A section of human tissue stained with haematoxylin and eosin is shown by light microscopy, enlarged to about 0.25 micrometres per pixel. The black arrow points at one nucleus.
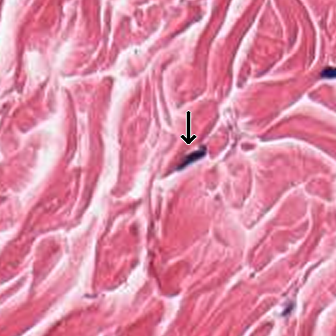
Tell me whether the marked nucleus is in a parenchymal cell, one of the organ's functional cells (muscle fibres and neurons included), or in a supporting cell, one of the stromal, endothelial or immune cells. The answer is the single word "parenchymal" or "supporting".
supporting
